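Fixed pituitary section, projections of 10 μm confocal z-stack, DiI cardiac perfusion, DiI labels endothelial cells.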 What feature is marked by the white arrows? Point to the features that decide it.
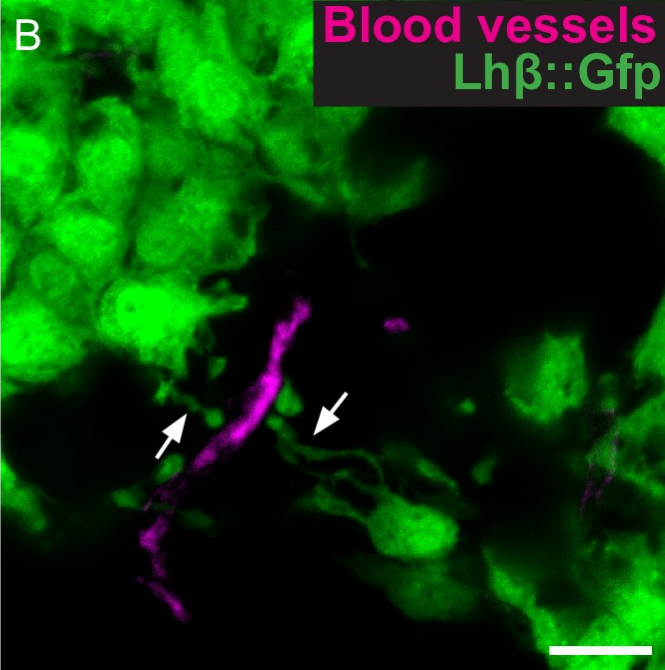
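The bulges lie beside a thin magenta vessel.
Swellings.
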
